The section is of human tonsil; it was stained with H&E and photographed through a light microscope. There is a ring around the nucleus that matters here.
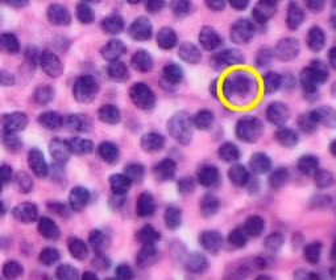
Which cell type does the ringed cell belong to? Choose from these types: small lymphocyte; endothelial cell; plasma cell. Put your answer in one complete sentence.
On this particular slide, the ringed cell is a small lymphocyte.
